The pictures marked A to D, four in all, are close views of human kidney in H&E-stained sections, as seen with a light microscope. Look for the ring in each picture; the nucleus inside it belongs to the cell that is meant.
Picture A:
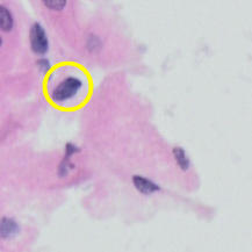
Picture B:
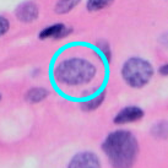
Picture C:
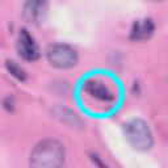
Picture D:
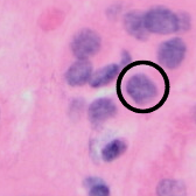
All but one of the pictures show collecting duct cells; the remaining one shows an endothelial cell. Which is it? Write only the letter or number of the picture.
A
